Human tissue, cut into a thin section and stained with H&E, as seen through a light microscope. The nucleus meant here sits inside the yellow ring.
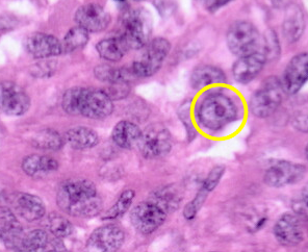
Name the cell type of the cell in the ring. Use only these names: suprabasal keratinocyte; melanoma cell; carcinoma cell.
melanoma cell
